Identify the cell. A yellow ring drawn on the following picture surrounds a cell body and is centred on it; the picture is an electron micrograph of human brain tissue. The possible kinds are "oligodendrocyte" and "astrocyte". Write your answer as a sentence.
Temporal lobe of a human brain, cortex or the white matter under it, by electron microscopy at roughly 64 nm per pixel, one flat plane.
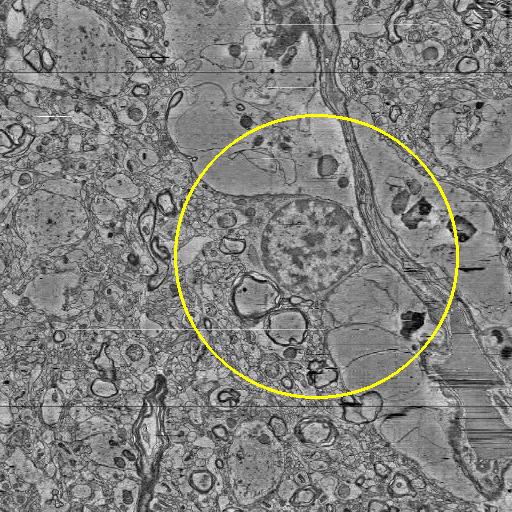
The cell identified by the ring is an oligodendrocyte.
